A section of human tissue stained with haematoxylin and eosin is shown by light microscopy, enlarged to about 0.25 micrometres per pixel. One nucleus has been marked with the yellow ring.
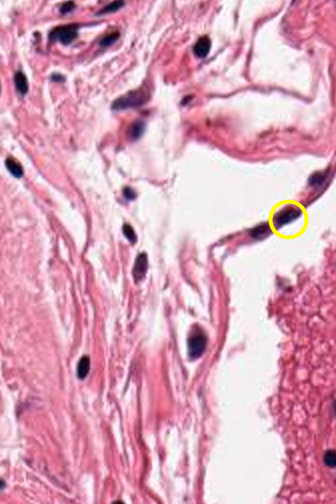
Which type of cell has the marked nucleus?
endothelial cell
